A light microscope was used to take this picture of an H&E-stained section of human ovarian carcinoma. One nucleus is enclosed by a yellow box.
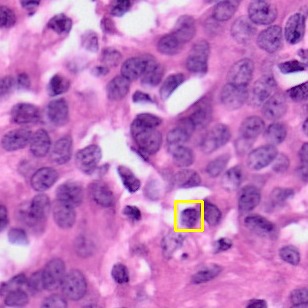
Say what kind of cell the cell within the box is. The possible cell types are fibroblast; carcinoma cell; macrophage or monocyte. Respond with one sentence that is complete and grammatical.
In this section, the cell within the box is a carcinoma cell.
